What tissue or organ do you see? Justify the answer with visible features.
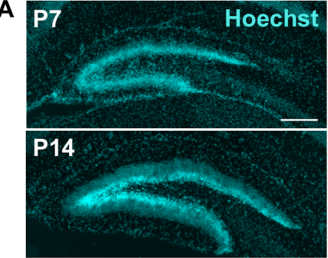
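Dentate gyrus. A dense band of stained nuclei folded into a V or C shape. The band is bright and compact against a sparser, more diffuse surrounding tissue.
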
